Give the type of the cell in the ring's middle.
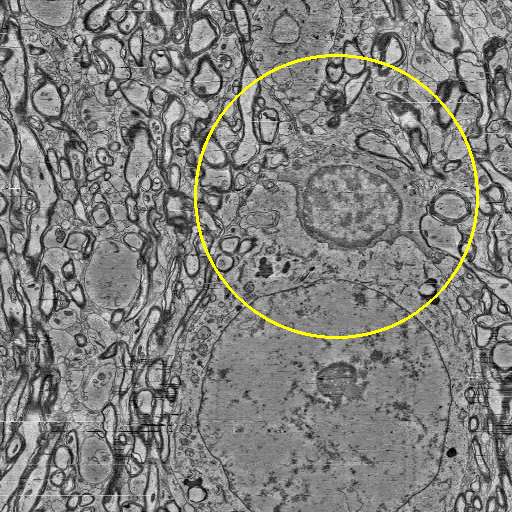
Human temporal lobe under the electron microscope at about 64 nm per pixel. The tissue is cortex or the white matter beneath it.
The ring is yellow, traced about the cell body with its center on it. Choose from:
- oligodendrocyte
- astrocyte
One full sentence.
Here, an oligodendrocyte is the cell lying at the center of the yellow ring.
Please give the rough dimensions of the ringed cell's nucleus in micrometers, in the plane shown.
The nucleus has a long axis of about 6 micrometres and a short axis of about 5 micrometres in this plane.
